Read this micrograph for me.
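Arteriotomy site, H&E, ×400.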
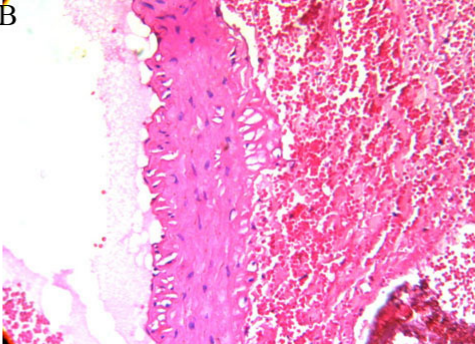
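A band of pink vessel wall with elongated nuclei runs down the middle, its left-hand surface thrown into wavy folds. To the right, many red blood cells are crowded together. To the left lies a pale, lightly stained space holding only a few scattered red cells.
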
